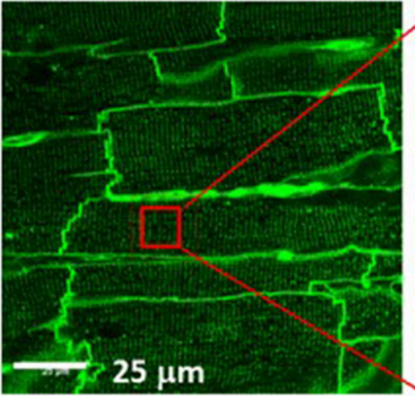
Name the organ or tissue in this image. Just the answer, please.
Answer: myocardium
